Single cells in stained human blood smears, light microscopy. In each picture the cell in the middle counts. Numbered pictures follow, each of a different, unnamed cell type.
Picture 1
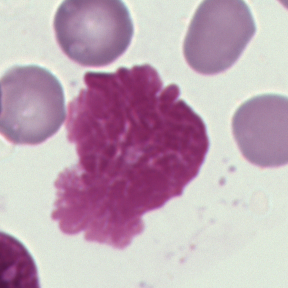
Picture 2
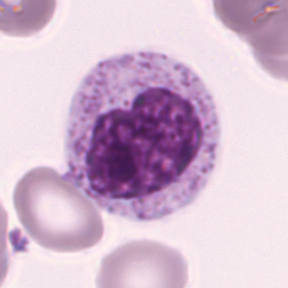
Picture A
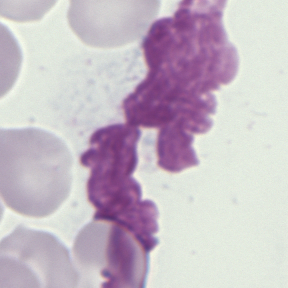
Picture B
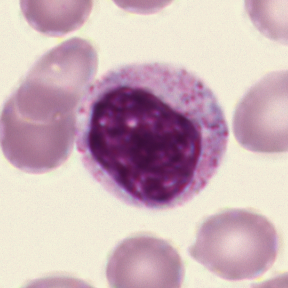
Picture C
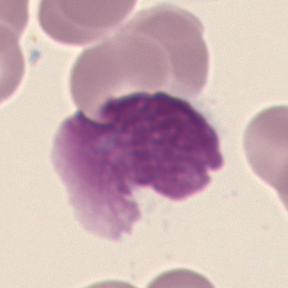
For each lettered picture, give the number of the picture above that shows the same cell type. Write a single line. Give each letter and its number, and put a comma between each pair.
A 1, B 2, C 1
